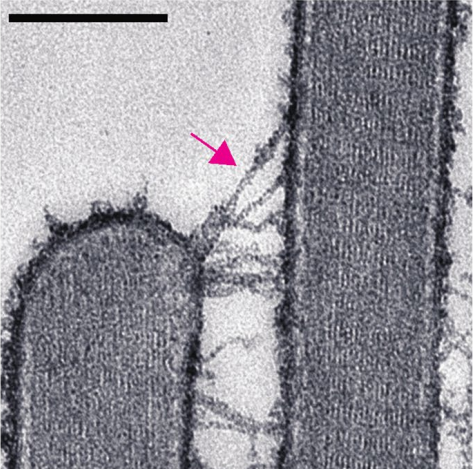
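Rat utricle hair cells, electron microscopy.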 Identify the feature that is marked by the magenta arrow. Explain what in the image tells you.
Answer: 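Fine filaments run from the rounded tip of the shorter rod to the side of the taller neighbour. The filaments are much thinner than the membrane-bound rods.
Conclusion: tip link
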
